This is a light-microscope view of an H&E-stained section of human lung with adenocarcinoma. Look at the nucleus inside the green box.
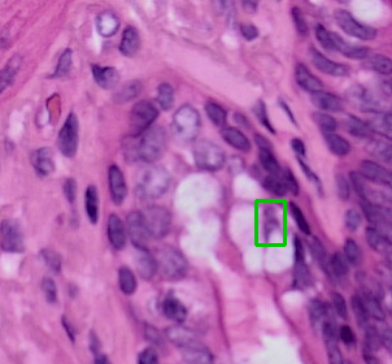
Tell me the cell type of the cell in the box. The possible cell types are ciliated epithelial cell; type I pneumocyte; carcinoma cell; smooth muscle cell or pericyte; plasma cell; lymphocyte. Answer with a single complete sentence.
It is a ciliated epithelial cell that the cell in the box represents.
